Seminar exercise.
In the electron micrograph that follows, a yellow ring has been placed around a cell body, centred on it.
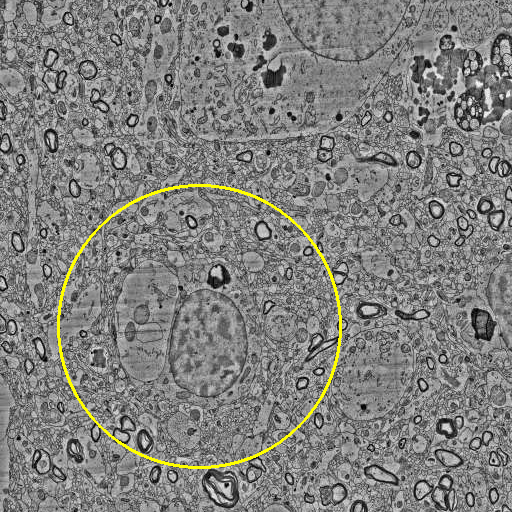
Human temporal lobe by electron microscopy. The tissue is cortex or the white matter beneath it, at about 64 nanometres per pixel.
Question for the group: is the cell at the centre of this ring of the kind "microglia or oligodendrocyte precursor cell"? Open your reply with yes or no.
No, the cell in the ring's centre is of another kind.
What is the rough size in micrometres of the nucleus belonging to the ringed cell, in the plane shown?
The ringed cell's nucleus is about 7 micrometres long and 5 micrometres wide in this plane.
